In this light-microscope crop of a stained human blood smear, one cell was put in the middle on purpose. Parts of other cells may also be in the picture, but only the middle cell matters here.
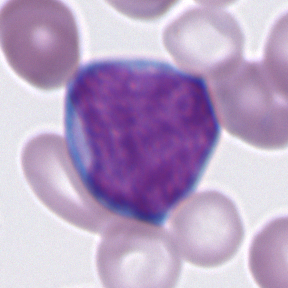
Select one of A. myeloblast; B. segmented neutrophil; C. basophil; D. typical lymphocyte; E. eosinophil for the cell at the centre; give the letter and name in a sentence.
Option A is correct, naming the cell in the middle as a myeloblast.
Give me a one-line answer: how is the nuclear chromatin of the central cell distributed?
The key point is fine chromatin with no coarse clumps.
